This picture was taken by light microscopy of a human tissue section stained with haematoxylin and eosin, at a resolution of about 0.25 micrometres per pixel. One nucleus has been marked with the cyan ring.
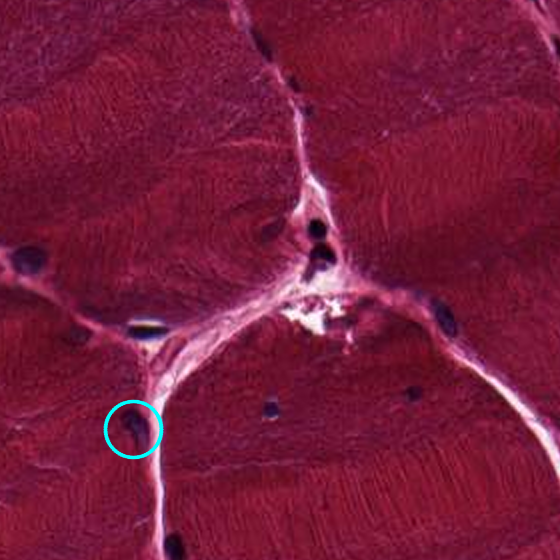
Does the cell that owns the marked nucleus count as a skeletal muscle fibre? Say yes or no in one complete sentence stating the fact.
Yes, a skeletal muscle fibre contains the marked nucleus.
